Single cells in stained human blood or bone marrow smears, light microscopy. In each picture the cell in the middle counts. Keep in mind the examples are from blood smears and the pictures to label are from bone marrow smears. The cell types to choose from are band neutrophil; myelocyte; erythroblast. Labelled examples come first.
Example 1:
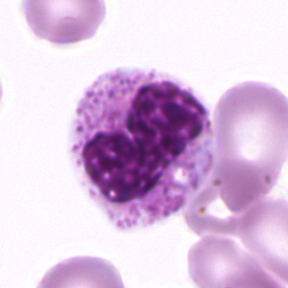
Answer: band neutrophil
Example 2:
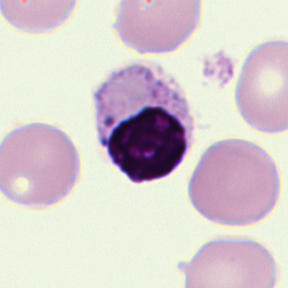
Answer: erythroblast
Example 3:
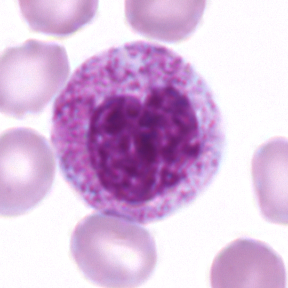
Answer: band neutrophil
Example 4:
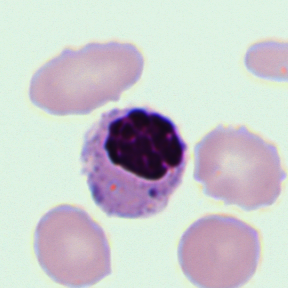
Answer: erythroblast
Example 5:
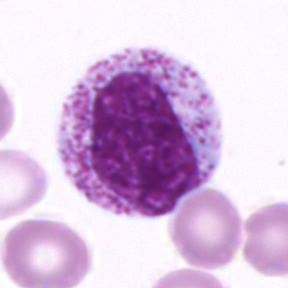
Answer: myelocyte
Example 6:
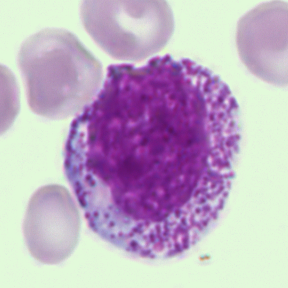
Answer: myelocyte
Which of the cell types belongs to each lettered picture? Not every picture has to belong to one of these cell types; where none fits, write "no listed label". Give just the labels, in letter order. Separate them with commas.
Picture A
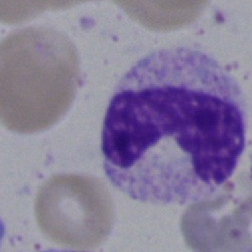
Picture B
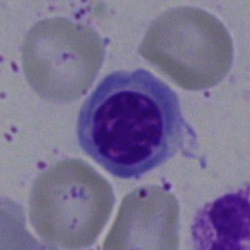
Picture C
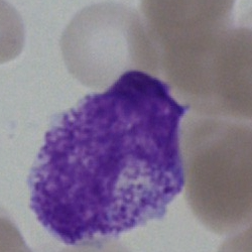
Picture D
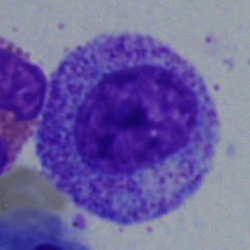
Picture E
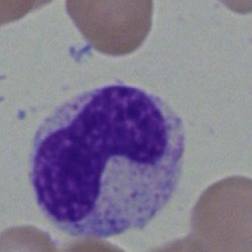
band neutrophil, erythroblast, no listed label, myelocyte, no listed label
